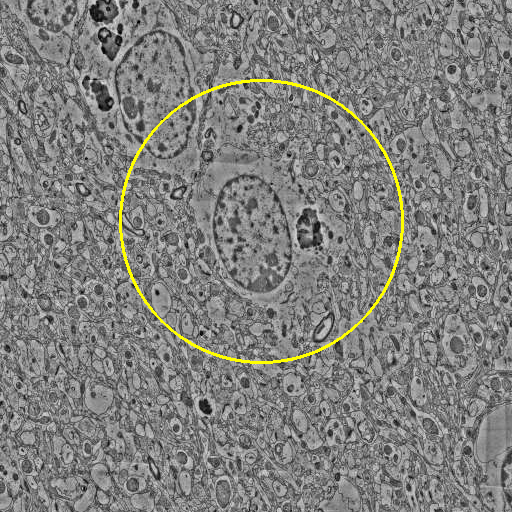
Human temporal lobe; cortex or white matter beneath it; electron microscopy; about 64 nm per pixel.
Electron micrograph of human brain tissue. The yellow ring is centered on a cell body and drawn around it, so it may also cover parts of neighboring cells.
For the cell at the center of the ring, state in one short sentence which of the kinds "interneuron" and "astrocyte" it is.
This ring is centered on an astrocyte.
